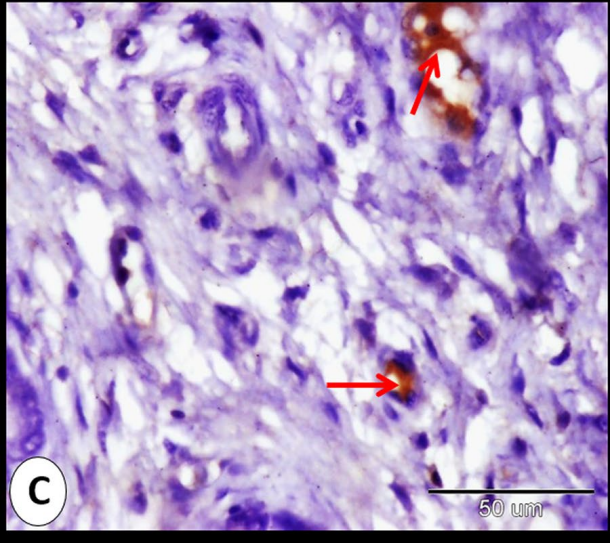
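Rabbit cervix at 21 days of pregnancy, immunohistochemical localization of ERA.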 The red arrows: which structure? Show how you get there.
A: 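Blood plasma. The lower arrow points at a small brown-stained spot in a narrow vessel within the stroma.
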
